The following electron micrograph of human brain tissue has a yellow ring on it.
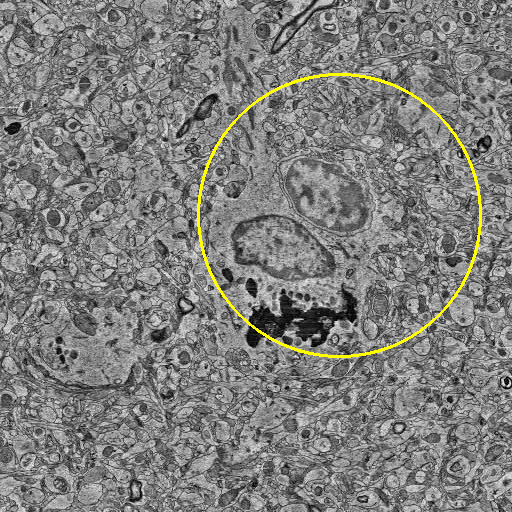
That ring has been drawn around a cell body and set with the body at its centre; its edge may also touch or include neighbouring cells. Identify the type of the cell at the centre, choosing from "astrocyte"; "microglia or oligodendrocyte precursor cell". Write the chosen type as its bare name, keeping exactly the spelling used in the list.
microglia or oligodendrocyte precursor cell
